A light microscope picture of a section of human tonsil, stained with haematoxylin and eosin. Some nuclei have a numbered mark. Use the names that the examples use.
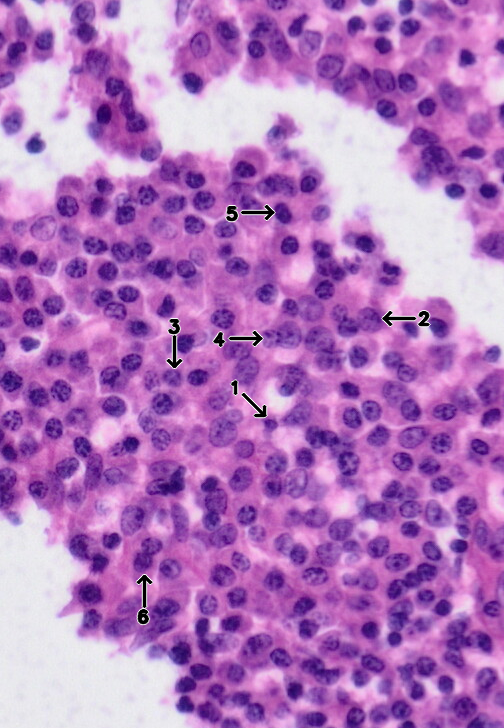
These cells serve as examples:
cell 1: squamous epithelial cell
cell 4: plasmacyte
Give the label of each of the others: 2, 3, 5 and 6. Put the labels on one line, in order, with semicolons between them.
squamous epithelial cell; plasmacyte; plasmacyte; plasmacyte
